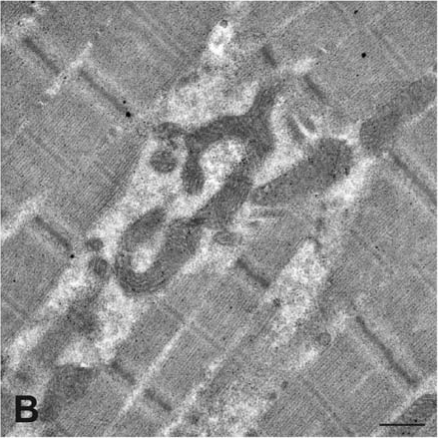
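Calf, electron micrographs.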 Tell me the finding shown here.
branched mitochondria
